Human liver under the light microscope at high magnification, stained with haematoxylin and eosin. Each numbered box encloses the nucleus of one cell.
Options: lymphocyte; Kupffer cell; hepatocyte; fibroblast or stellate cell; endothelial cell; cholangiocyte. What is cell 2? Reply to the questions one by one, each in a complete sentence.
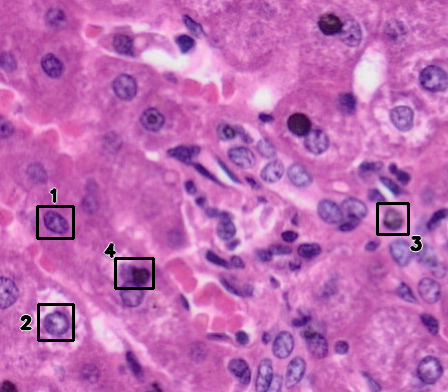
The cell whose nucleus carries the number 2 is a hepatocyte.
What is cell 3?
The cell indicated by marker 3 is a cholangiocyte in this section.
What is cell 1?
The cell whose nucleus carries the number 1 is a hepatocyte.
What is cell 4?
Regarding cell 4, this one is a hepatocyte.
